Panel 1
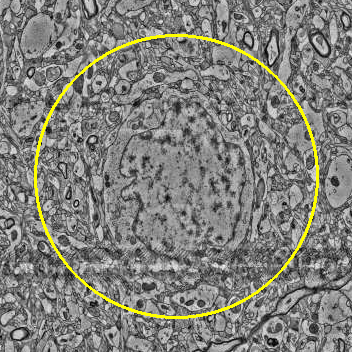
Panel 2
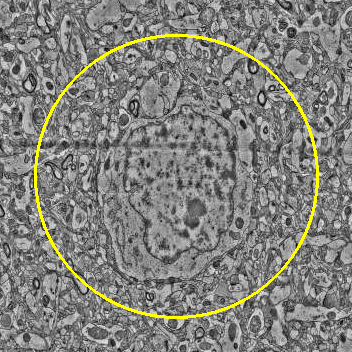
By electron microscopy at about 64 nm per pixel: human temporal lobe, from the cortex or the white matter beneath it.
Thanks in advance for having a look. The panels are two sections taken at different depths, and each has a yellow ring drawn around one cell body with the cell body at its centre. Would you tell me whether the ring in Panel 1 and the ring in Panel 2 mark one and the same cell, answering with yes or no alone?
yes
